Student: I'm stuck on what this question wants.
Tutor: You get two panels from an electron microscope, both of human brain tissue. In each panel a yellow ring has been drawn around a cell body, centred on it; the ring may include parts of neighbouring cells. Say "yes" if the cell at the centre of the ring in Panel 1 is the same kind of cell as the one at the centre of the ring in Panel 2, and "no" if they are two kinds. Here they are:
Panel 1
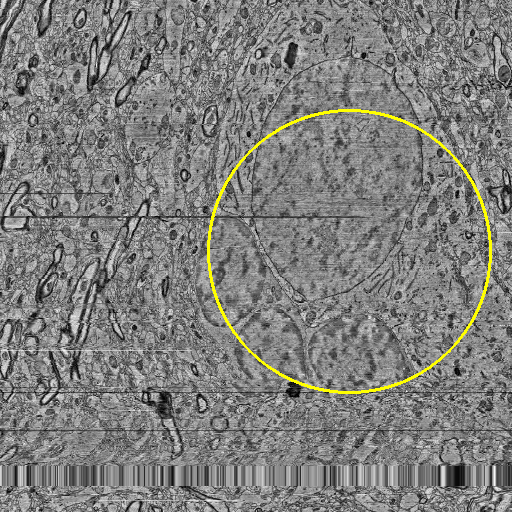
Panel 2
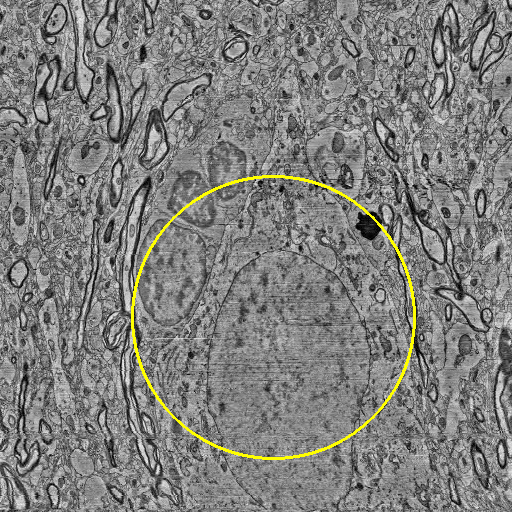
yes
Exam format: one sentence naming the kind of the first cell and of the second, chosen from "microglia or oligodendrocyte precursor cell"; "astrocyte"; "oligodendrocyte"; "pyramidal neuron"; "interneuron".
The first and the second cell are each a pyramidal neuron.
